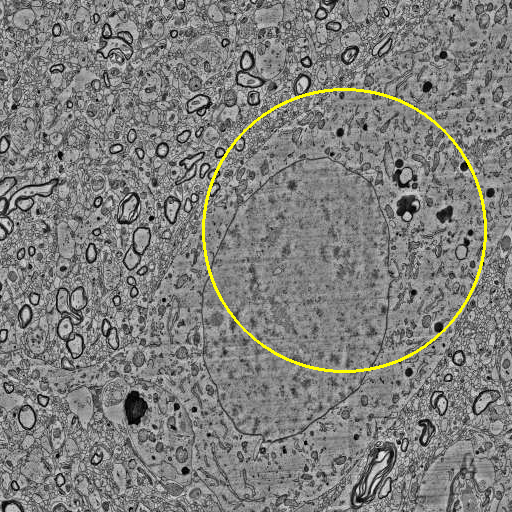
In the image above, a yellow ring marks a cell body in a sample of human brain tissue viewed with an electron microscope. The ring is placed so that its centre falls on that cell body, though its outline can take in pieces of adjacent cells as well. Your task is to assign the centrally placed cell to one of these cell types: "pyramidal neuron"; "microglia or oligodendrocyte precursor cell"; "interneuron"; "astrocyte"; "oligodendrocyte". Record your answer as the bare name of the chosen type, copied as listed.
pyramidal neuron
